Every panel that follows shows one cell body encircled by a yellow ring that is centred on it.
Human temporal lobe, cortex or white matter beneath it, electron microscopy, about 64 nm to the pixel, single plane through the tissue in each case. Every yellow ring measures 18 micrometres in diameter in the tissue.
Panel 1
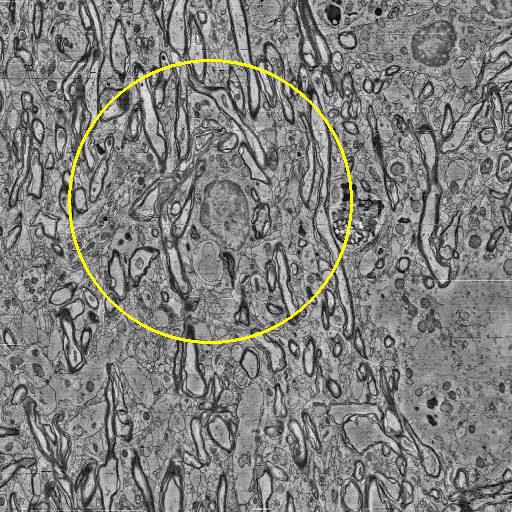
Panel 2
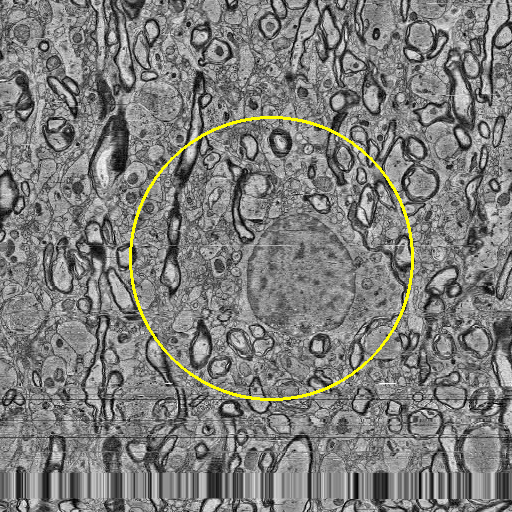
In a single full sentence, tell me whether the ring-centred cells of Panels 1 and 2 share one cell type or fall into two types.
In Panel 1 and Panel 2, the cells at the ring centres share one cell type.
